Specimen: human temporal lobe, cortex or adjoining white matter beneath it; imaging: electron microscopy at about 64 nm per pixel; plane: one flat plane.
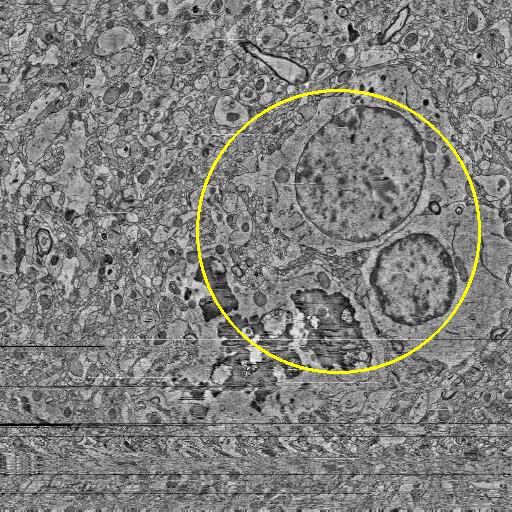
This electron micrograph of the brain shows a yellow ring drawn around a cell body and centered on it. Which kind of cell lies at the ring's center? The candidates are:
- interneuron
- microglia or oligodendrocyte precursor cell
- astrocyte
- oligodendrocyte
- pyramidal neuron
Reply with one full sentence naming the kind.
The cell lying at the ring's center in this micrograph is an astrocyte.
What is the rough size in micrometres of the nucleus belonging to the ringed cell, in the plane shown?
Approximately 9 micrometres across, in this plane.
